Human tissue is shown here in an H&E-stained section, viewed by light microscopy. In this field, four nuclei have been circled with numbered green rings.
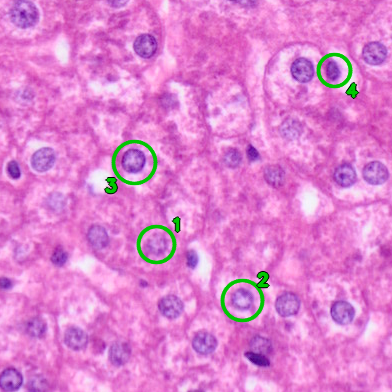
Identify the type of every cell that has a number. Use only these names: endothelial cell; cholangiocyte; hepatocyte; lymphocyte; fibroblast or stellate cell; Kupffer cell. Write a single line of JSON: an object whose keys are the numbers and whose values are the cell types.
{"1": "hepatocyte", "2": "hepatocyte", "3": "hepatocyte", "4": "Kupffer cell"}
